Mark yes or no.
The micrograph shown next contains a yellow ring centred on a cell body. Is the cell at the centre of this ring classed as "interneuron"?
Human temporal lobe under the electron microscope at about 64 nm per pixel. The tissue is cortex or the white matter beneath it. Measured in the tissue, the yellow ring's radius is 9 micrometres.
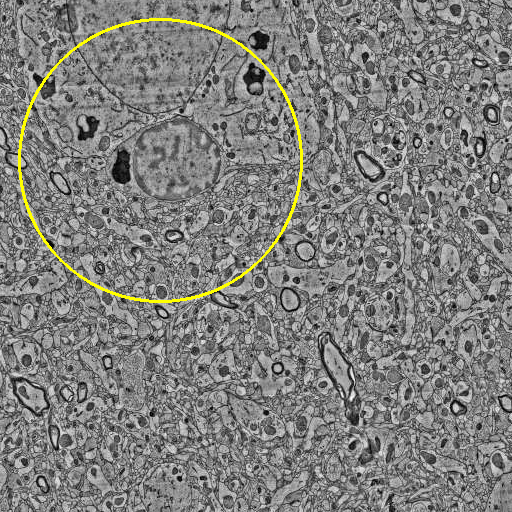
no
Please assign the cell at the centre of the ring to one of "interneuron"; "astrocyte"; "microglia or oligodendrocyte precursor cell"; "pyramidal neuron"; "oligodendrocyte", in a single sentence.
The cell at the ring centre is an oligodendrocyte.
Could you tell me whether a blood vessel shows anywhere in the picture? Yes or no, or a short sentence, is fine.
No, none appears.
